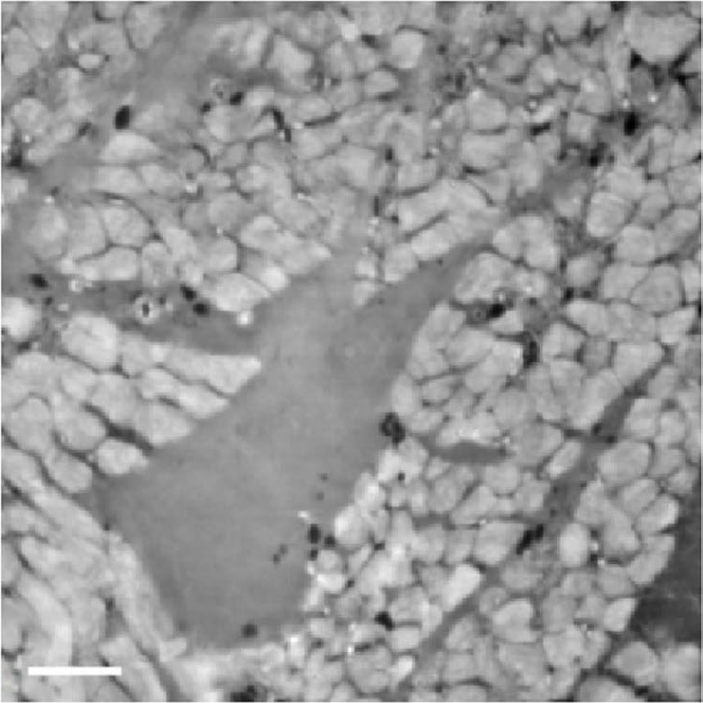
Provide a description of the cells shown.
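This cross section of skeletal muscle shows many small muscle fibers cut transversely, arranged in groups. The fiber profiles are bright grey, irregular and angular, and clearly smaller than fibers of normal muscle at the same scale. A large, smooth, homogeneous grey area free of fibers runs through the middle of the field between the groups. Scattered small dark spots and bright dots lie among the fibers and along the edges of the grey area. The overall appearance fits muscle atrophy.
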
